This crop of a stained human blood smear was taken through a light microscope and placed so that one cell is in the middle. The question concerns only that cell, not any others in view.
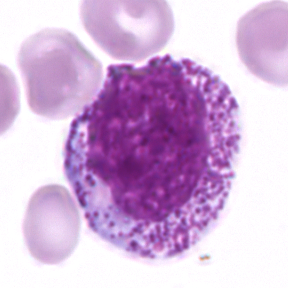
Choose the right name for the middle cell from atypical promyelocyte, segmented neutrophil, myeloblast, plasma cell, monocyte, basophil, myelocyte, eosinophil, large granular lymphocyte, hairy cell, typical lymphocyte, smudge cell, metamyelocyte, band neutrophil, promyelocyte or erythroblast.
myelocyte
